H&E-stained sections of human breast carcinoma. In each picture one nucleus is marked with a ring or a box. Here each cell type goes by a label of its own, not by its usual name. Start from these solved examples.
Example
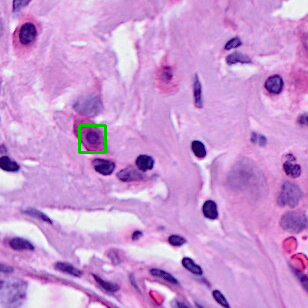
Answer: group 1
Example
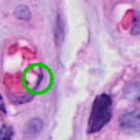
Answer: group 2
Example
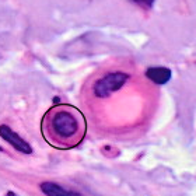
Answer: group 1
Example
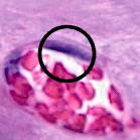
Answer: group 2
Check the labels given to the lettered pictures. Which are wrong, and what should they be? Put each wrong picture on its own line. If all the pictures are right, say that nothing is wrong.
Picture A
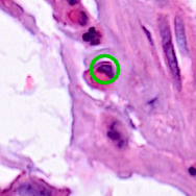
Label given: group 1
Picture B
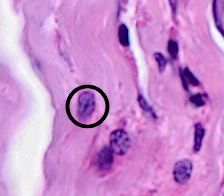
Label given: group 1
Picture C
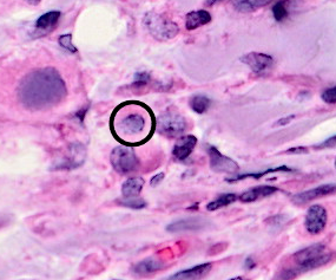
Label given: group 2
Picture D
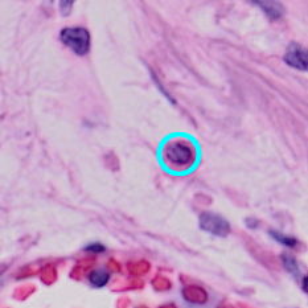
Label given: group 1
A: change group 1 to group 2
C: change group 2 to group 1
